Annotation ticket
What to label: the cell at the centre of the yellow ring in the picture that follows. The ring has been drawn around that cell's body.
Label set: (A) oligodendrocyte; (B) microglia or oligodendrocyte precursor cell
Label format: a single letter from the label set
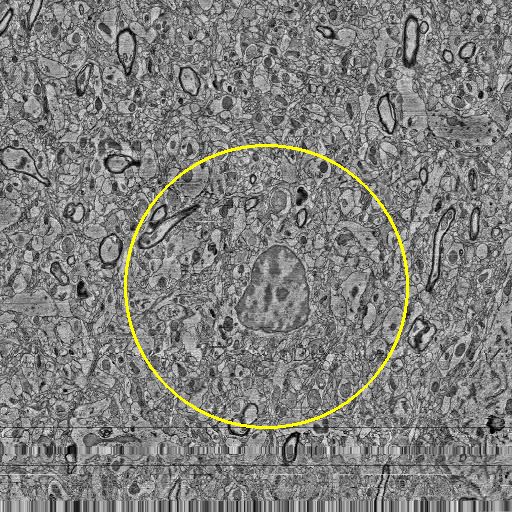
B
